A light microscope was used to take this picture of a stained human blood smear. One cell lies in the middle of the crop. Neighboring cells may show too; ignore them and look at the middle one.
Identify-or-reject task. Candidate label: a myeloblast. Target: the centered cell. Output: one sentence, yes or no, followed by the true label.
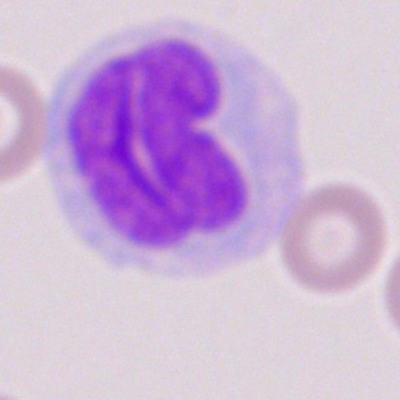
No, wrong label: the middle cell is a monocyte instead of a myeloblast.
